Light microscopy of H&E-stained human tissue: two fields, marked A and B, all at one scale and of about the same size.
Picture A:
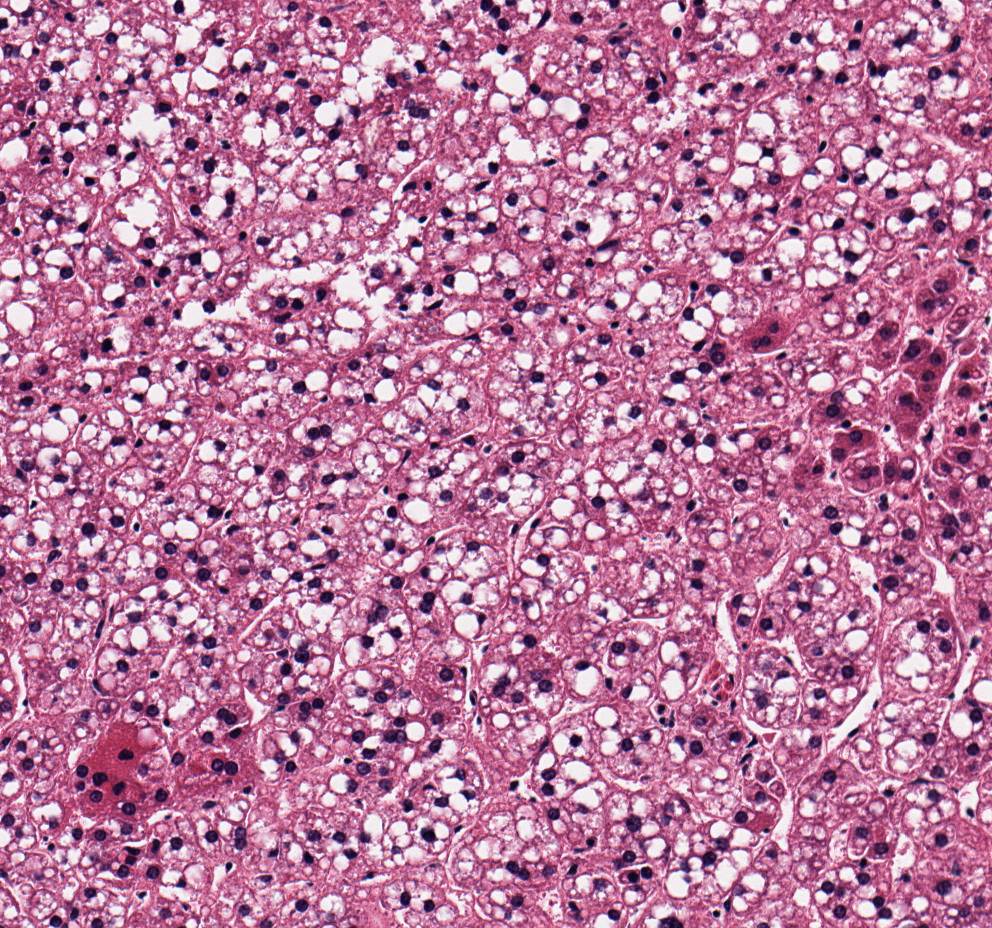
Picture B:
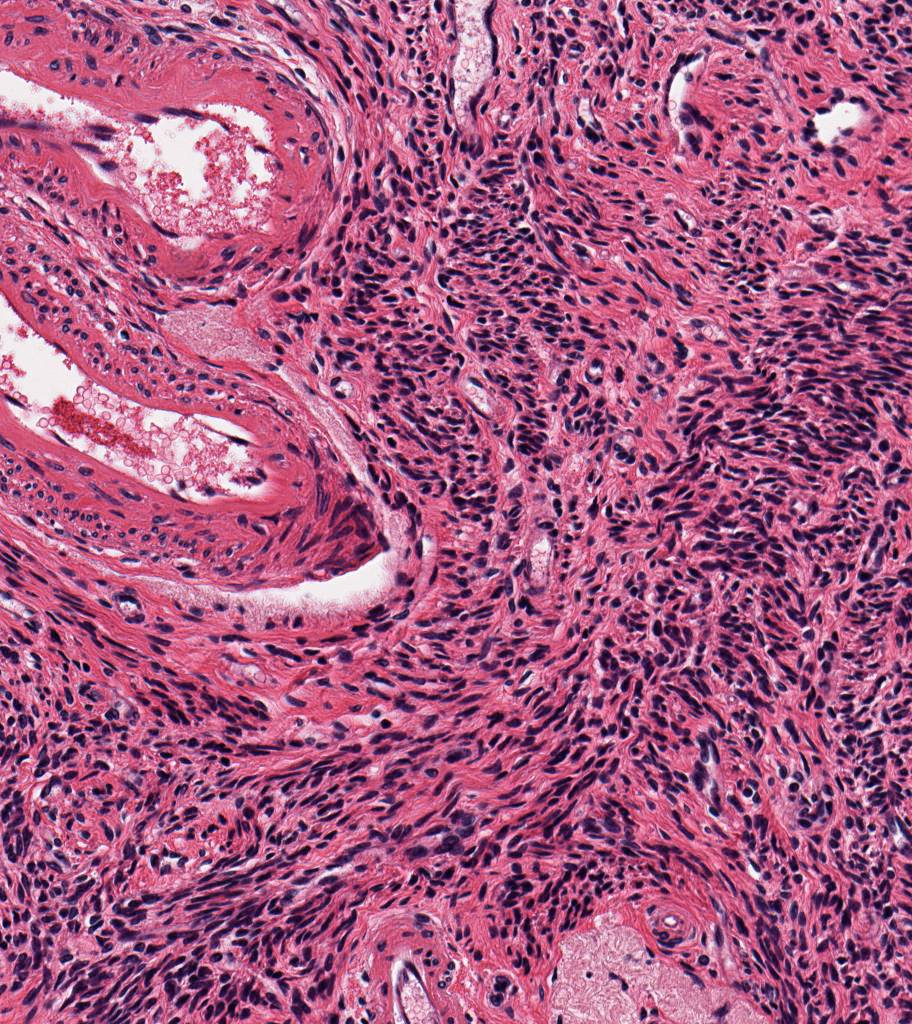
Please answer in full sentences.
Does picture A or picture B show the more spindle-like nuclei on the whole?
Longer, more slender nuclei lie in picture B.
